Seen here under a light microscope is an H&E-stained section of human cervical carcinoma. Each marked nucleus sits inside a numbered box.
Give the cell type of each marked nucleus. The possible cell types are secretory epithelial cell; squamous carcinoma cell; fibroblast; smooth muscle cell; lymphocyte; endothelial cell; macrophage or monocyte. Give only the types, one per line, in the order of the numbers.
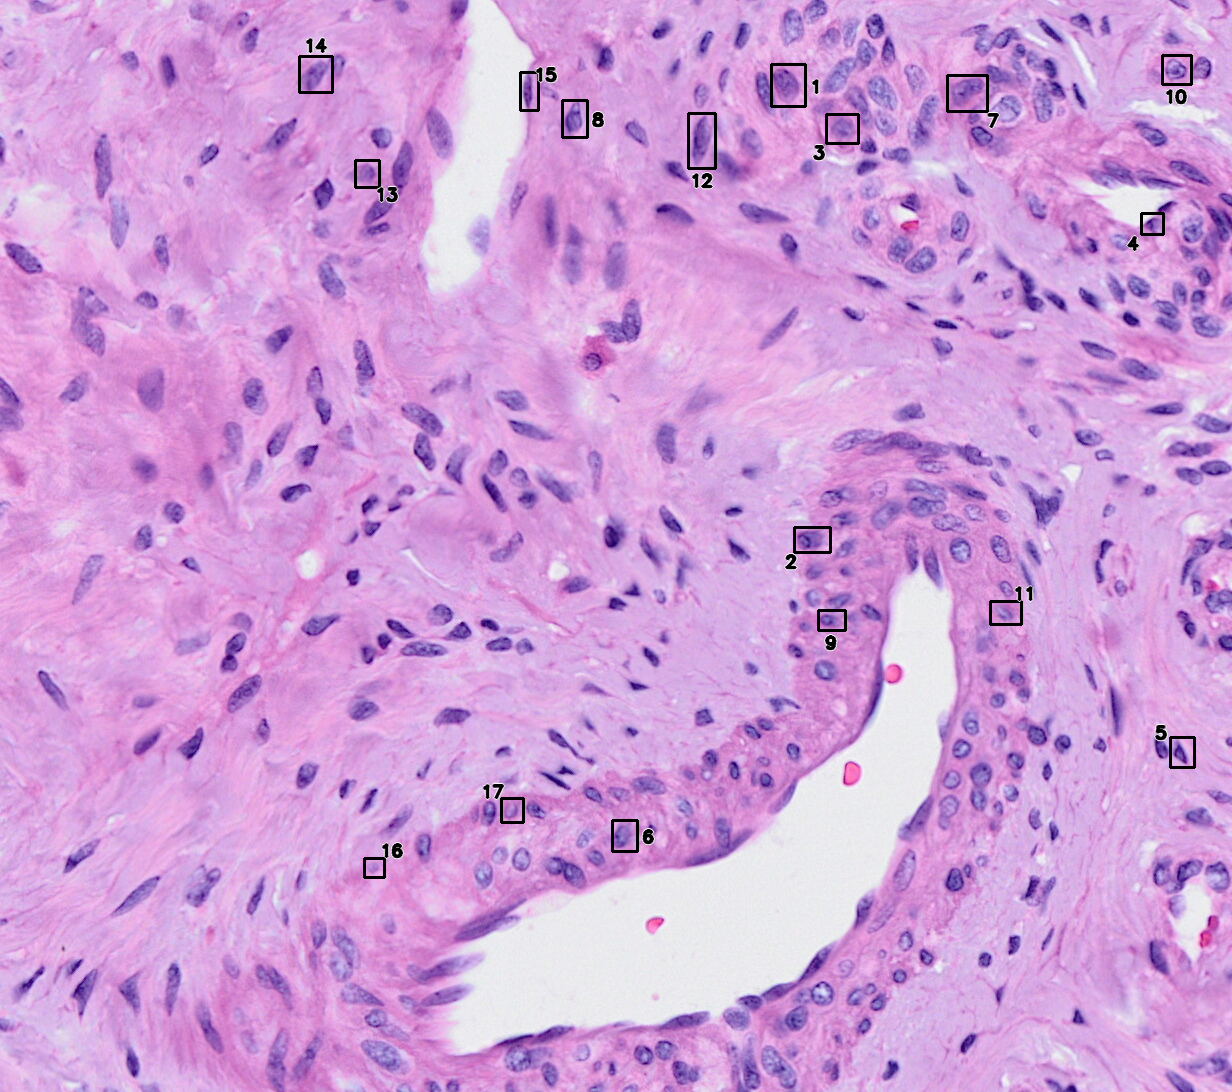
smooth muscle cell
smooth muscle cell
smooth muscle cell
endothelial cell
fibroblast
smooth muscle cell
smooth muscle cell
fibroblast
smooth muscle cell
endothelial cell
smooth muscle cell
fibroblast
fibroblast
fibroblast
endothelial cell
smooth muscle cell
smooth muscle cell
